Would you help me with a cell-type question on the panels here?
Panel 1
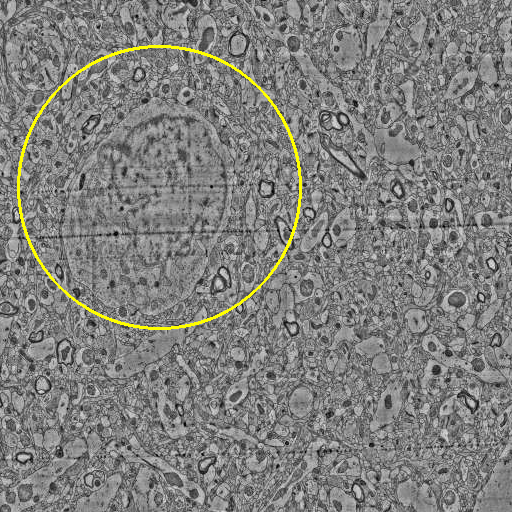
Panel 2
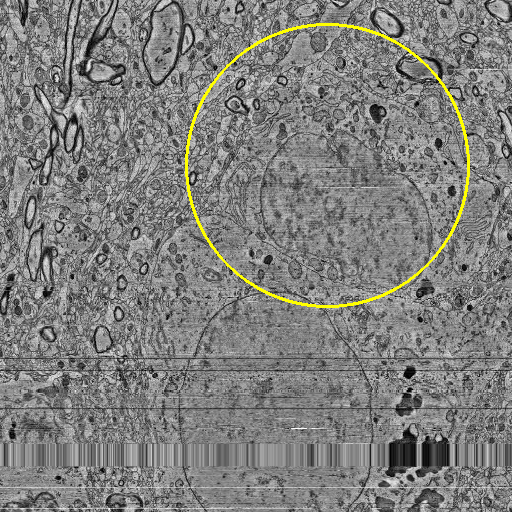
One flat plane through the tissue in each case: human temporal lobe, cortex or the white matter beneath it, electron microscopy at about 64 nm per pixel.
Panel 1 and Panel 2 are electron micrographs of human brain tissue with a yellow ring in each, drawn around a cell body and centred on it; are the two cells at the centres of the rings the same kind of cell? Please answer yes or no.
yes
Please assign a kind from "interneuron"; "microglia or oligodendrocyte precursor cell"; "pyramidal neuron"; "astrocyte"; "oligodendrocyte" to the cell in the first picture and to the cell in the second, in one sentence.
Each of the two cells is an interneuron.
